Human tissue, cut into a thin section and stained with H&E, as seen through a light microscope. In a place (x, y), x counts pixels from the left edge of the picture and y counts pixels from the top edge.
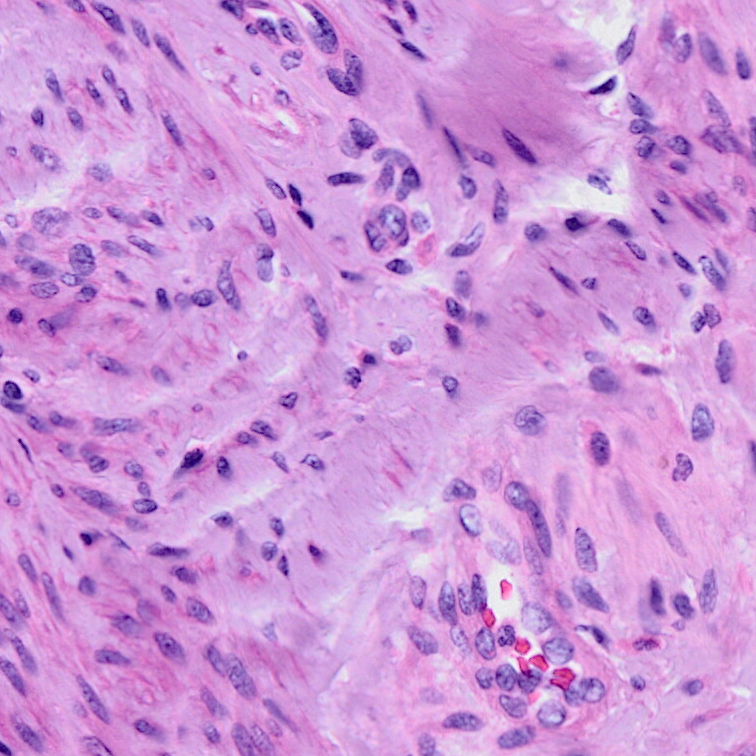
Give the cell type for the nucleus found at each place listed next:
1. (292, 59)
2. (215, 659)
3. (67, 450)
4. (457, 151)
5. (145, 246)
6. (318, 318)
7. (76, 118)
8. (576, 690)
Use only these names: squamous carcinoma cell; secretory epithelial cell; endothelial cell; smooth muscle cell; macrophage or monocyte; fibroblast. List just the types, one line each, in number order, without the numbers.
endothelial cell
smooth muscle cell
smooth muscle cell
fibroblast
smooth muscle cell
smooth muscle cell
smooth muscle cell
endothelial cell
